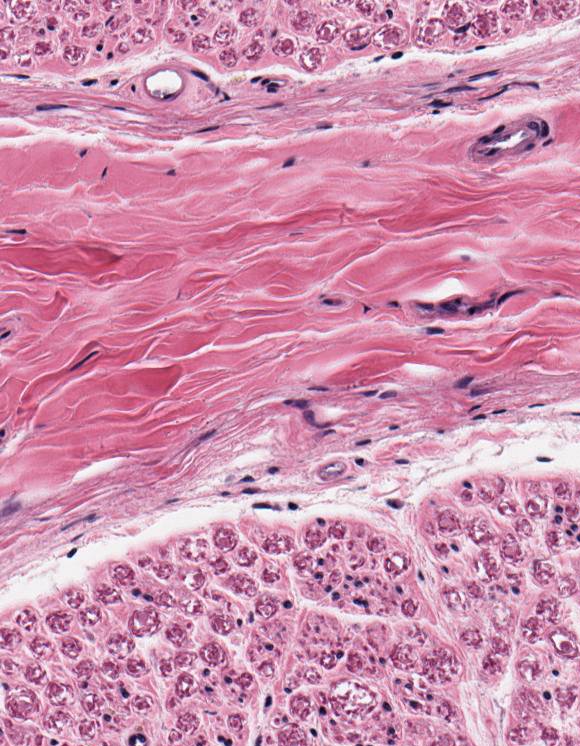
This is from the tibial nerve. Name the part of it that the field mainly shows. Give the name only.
epineurium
